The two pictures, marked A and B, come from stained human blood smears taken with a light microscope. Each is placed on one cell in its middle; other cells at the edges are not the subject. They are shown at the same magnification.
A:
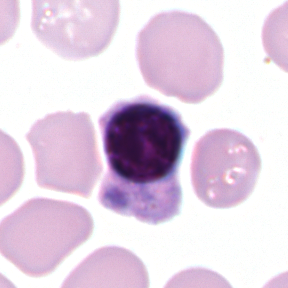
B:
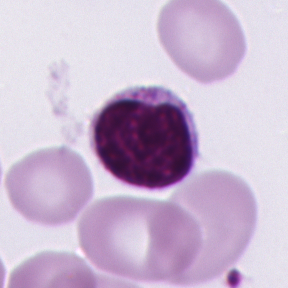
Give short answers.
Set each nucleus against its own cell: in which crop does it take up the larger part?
B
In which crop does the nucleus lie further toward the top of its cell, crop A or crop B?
A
